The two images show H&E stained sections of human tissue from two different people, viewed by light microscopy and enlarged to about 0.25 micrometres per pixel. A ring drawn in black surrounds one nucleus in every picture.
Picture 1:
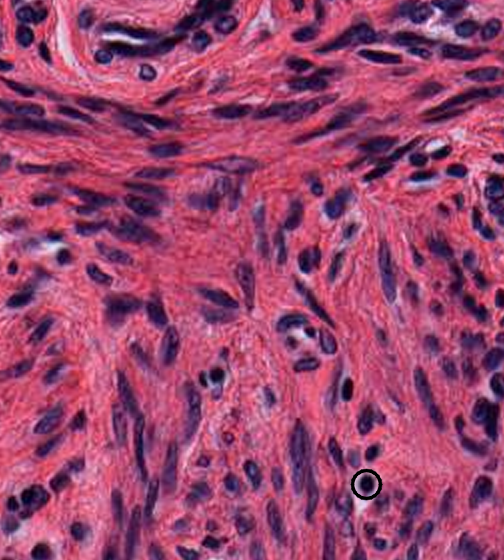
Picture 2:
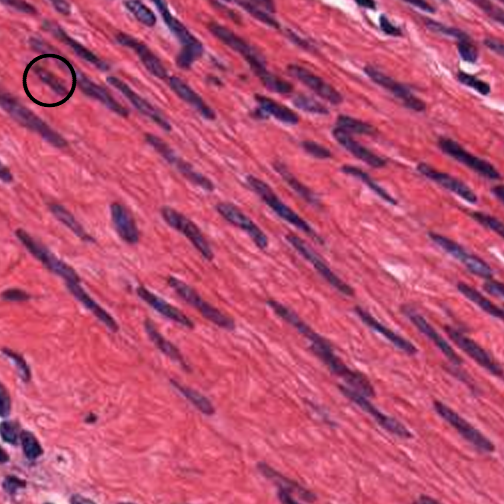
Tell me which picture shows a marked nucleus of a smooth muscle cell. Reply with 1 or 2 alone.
2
